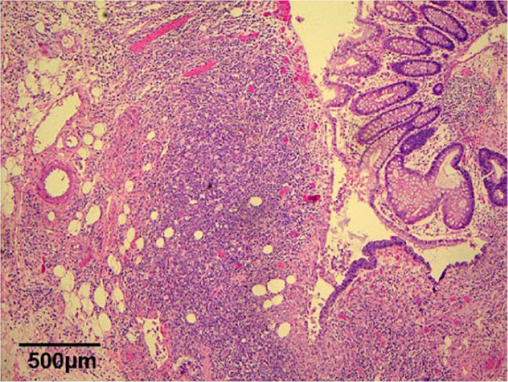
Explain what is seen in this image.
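Colonic wall at an ulcer, with a dense sheet of chronic inflammatory cells occupying the left and centre of the field. The infiltrate consists of closely packed small cells with dark purple nuclei and extends among clear fat cells and small vessels. At the right, preserved colonic mucosa with tubular crypts lined by pale mucin-rich epithelium abuts the inflamed area along a sharp boundary.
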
